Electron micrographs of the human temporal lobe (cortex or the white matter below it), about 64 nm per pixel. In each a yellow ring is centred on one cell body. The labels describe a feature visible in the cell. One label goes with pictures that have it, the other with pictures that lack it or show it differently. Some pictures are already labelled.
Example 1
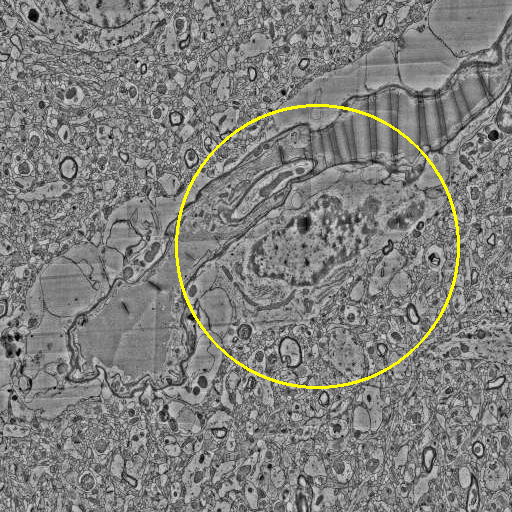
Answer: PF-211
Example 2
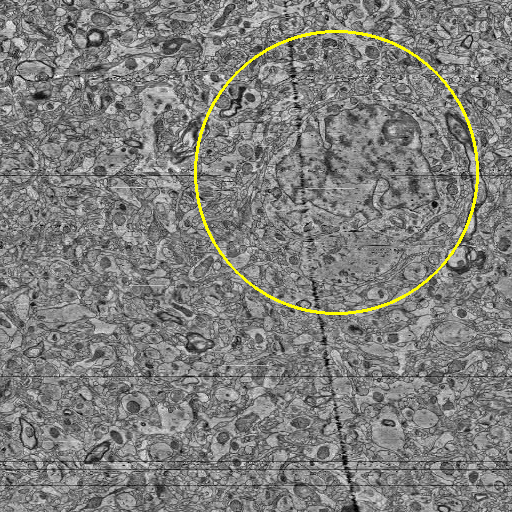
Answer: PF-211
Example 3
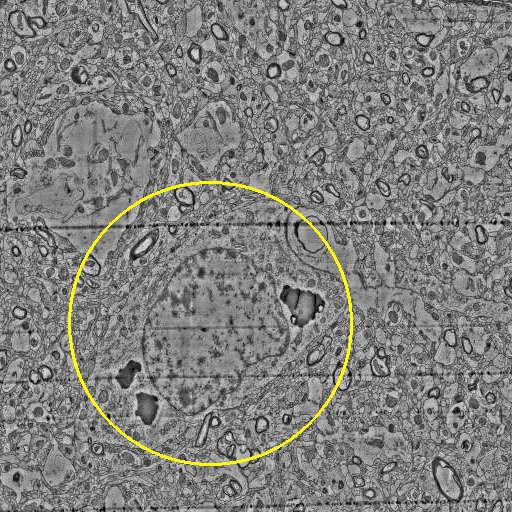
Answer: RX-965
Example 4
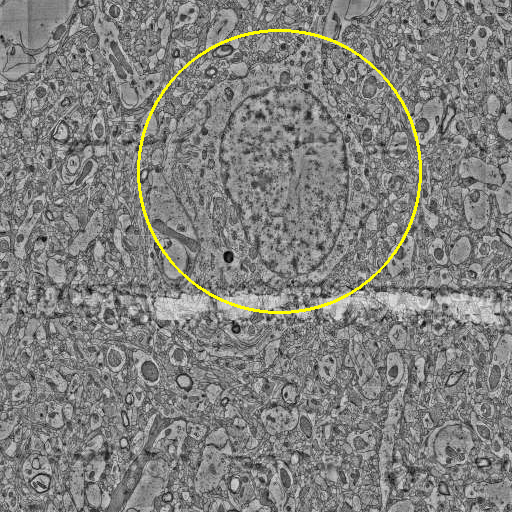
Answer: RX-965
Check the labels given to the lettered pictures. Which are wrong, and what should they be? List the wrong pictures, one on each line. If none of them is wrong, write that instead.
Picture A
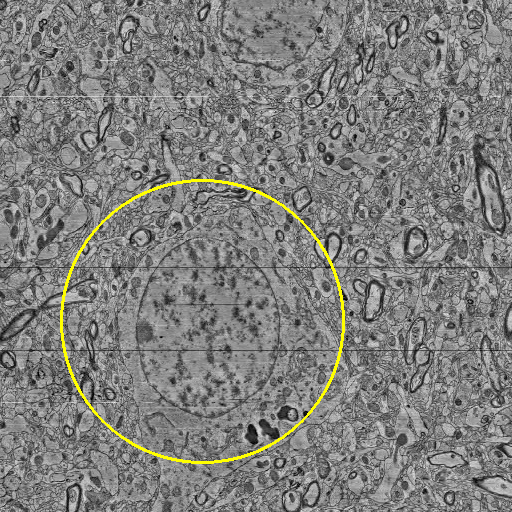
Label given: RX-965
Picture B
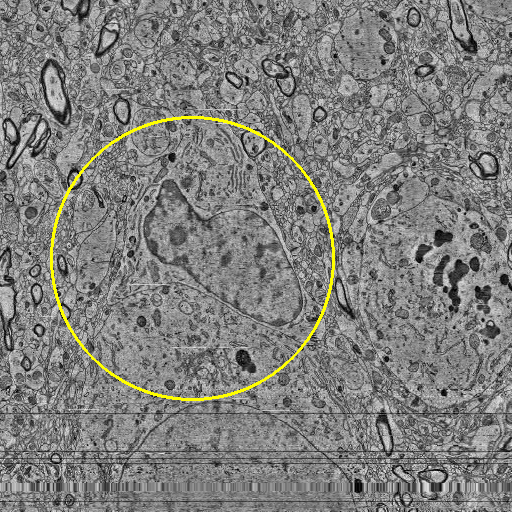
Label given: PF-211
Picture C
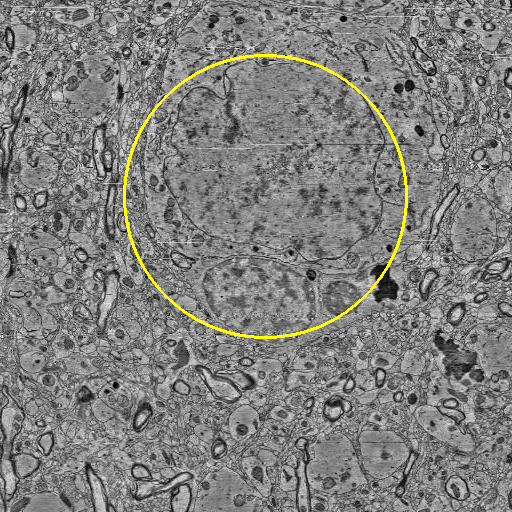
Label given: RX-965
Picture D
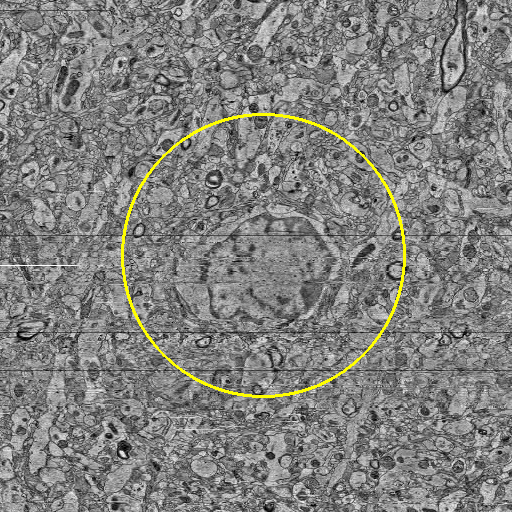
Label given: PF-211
C: PF-211, not RX-965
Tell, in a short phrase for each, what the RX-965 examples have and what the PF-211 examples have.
In RX-965: smooth nuclear envelopes without deep folds. In PF-211: deeply folded or indented nuclear envelopes.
